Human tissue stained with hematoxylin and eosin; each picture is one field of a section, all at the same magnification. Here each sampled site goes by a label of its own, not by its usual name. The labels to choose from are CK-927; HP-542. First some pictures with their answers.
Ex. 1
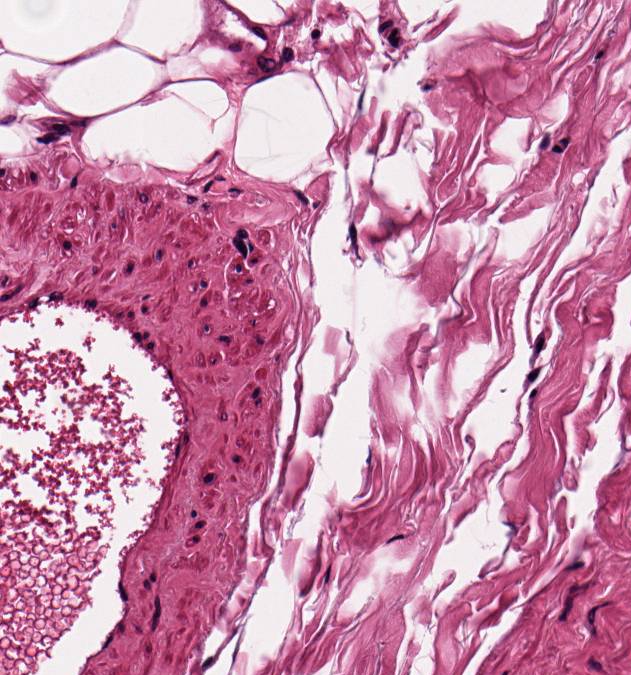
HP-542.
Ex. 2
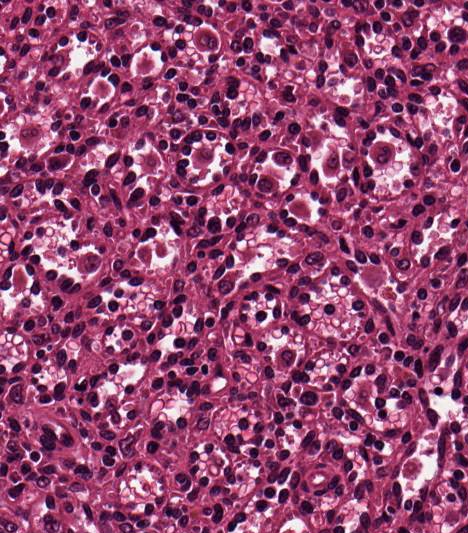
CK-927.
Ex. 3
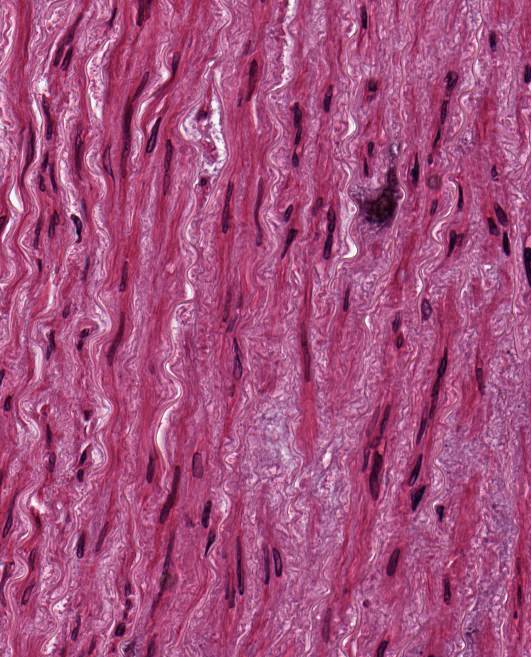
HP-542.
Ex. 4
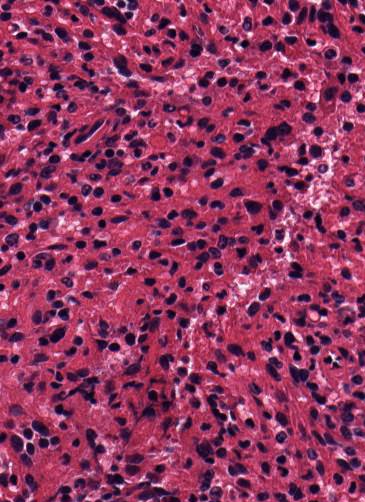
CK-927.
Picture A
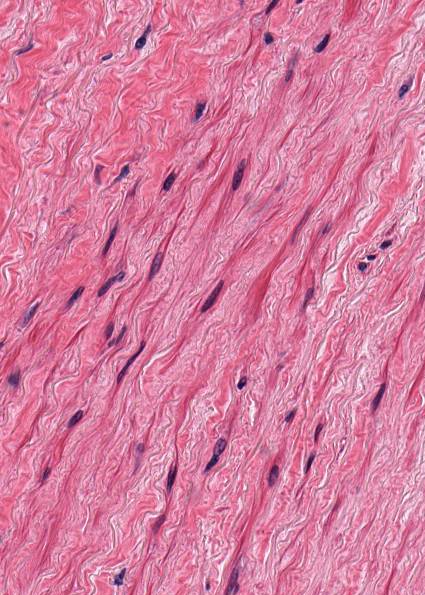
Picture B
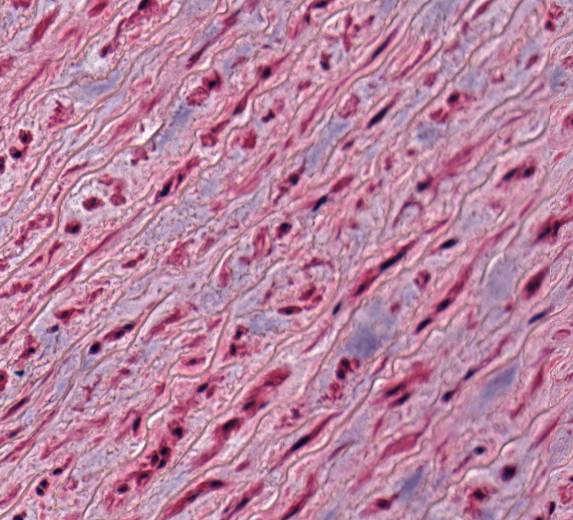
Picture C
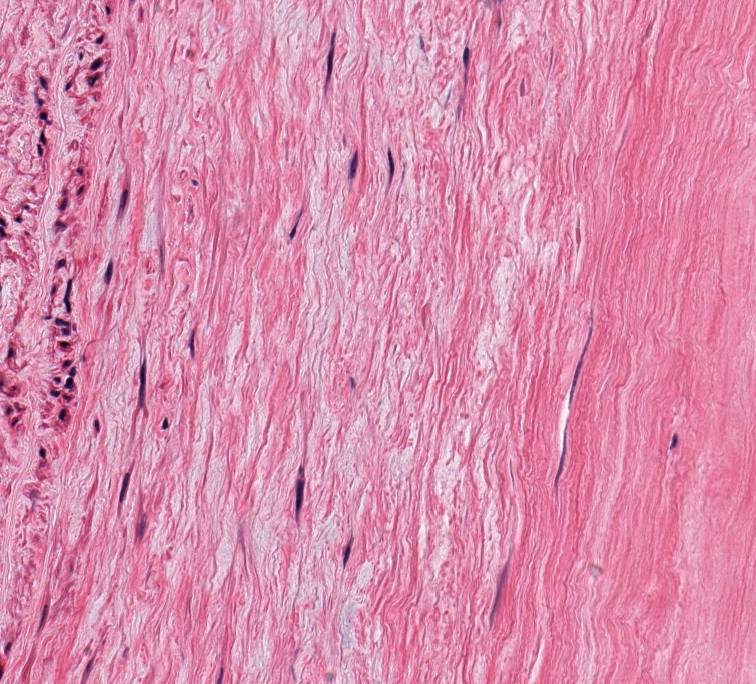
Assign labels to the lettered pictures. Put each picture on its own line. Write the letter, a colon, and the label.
A: HP-542.
B: HP-542.
C: HP-542.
